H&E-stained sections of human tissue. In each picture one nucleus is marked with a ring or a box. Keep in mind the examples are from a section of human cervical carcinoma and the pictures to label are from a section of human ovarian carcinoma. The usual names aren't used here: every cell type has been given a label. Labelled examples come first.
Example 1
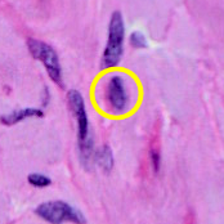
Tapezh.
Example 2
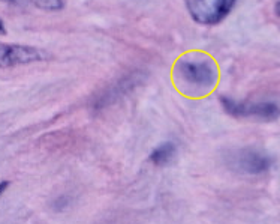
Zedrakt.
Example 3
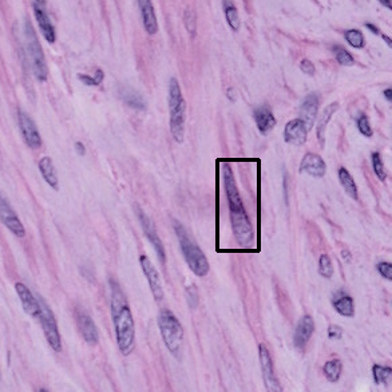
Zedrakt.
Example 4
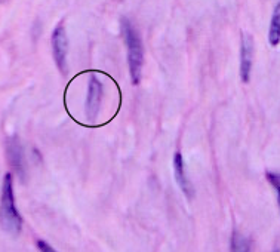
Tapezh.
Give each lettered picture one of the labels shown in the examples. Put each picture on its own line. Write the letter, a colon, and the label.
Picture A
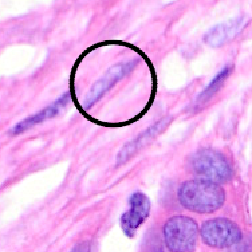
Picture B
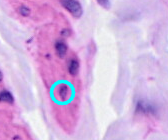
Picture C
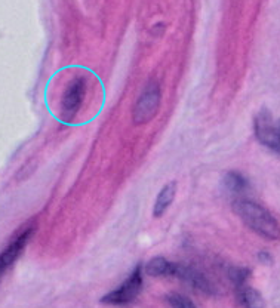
A: Tapezh.
B: Zedrakt.
C: Zedrakt.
